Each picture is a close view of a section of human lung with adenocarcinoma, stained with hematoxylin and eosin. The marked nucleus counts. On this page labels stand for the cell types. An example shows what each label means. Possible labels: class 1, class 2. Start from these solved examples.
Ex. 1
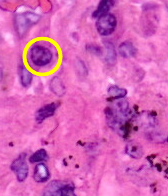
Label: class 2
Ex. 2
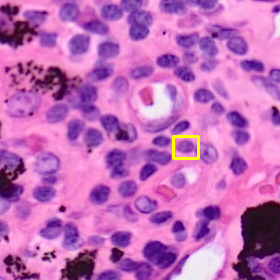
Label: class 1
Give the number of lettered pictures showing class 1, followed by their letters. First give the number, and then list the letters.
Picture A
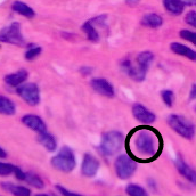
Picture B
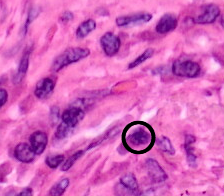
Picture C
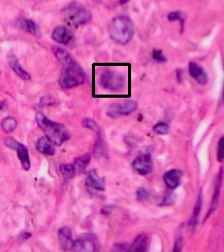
1, namely A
